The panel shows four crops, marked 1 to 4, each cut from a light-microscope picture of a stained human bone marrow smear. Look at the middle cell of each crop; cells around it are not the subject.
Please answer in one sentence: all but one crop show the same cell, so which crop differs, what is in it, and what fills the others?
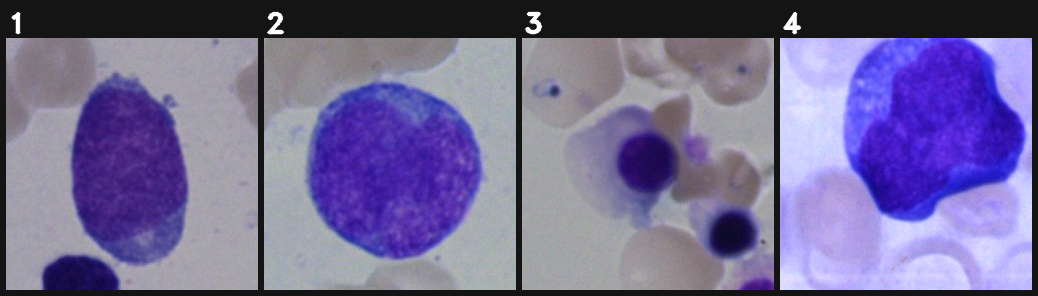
A different cell type, an erythroblast, occupies crop 3; the other crops show blasts.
